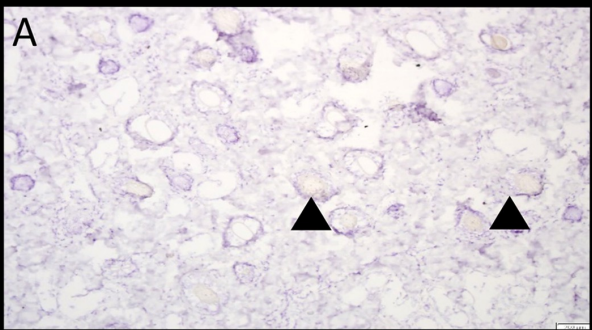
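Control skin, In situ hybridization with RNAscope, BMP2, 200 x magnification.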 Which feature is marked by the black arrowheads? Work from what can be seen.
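The arrowheads point to small round cross-sectioned structures with a central pale core. The marked structures are ringed by a thin layer of cells, repeated across the section.
Hair follicles.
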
